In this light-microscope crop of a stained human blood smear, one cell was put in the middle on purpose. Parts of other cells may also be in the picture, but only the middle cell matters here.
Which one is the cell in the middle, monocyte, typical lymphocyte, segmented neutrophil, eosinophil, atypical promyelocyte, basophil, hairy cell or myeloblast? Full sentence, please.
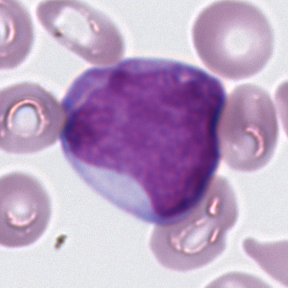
At the middle of the frame sits an atypical promyelocyte.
